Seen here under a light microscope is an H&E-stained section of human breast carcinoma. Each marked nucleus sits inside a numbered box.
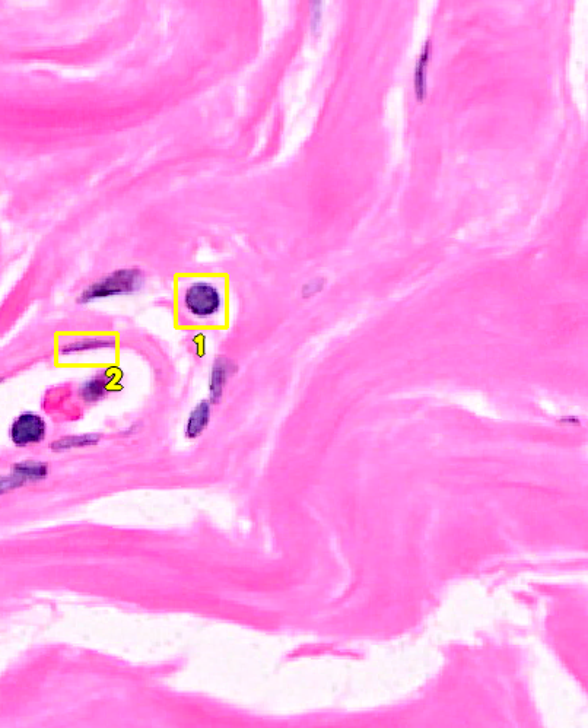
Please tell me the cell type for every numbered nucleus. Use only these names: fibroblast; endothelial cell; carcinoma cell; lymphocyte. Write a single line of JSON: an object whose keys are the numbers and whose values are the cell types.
{"1": "lymphocyte", "2": "endothelial cell"}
